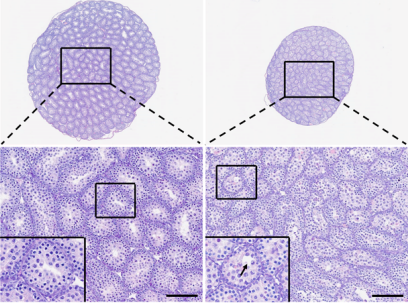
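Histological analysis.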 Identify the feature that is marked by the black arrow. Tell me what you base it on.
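Vacuole. The arrow in the lower right inset points into a round tubule cross-section. A clear, unstained space lies within the epithelium of that tubule.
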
